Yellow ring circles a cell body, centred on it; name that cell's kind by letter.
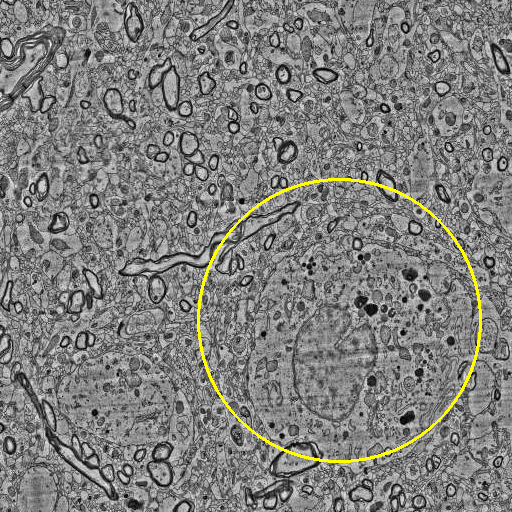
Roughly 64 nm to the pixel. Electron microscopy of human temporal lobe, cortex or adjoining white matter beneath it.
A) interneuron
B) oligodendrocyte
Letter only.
A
